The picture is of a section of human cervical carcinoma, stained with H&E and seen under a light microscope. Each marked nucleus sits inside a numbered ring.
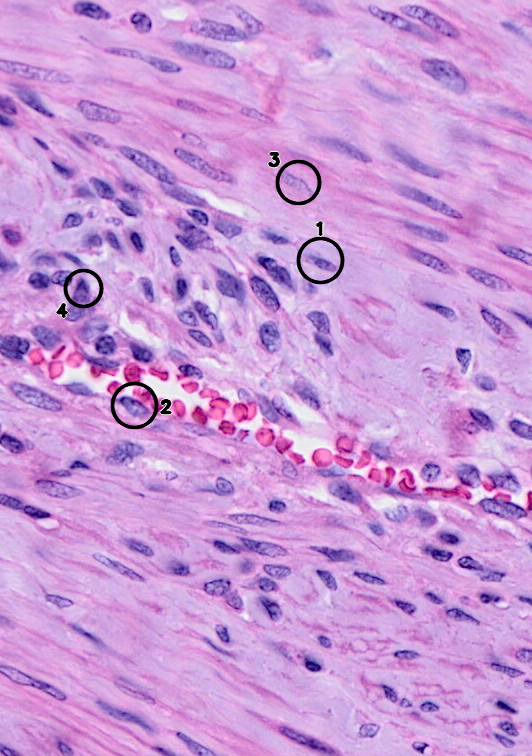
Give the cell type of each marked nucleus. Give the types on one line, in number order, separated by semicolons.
fibroblast; endothelial cell; smooth muscle cell; lymphocyte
